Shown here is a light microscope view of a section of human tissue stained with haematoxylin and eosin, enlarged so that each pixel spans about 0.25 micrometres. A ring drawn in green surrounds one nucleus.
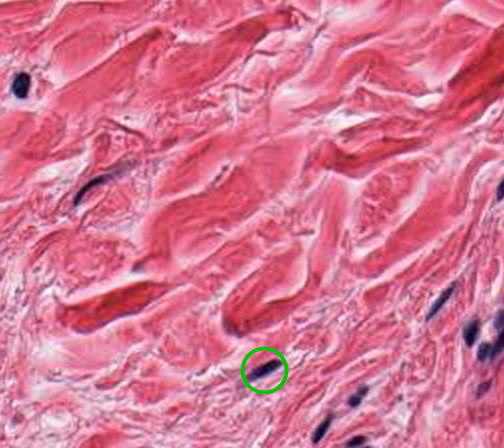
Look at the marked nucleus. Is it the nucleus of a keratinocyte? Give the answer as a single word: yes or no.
no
